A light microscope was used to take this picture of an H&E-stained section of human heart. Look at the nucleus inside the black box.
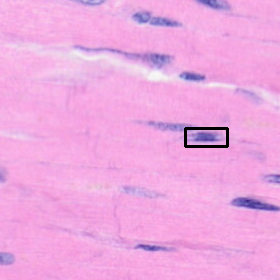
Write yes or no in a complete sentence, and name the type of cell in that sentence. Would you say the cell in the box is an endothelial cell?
Yes, as far as cell type goes, the cell in the box is an endothelial cell.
